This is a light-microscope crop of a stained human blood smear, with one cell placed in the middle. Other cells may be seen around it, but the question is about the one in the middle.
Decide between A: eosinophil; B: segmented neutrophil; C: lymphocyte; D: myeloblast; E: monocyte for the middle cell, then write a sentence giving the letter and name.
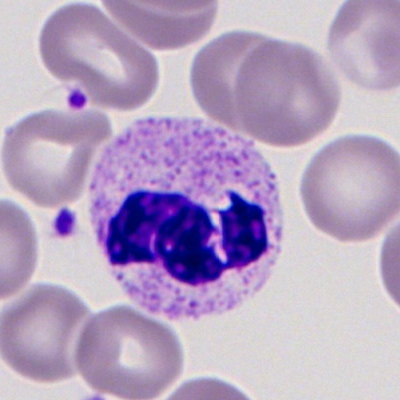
Option B is correct in that the central cell is a segmented neutrophil.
